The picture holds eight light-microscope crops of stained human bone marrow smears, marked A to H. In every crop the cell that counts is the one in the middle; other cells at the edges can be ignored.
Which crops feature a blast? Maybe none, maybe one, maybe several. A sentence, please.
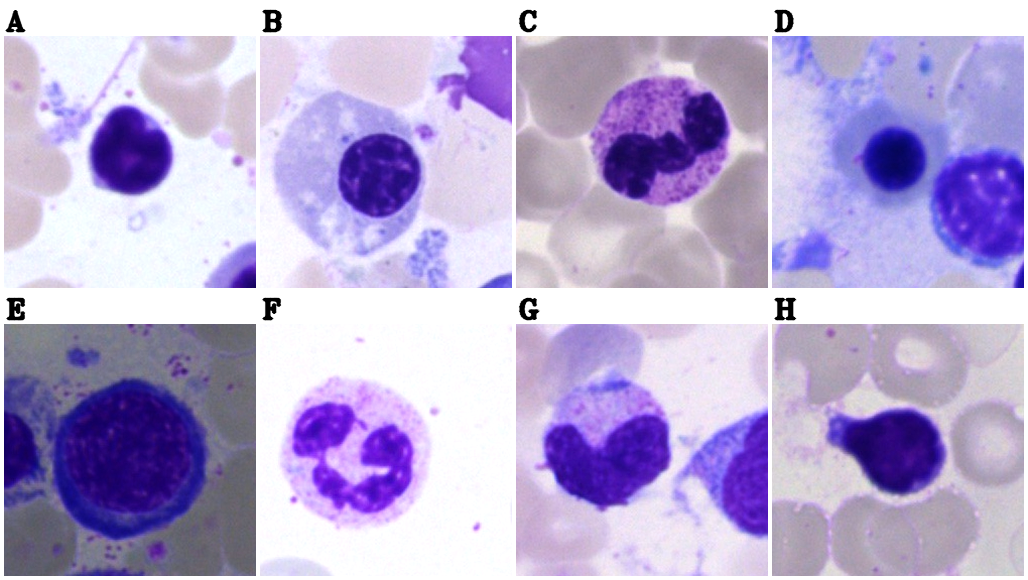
In none of the crops is the middle cell a blast.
